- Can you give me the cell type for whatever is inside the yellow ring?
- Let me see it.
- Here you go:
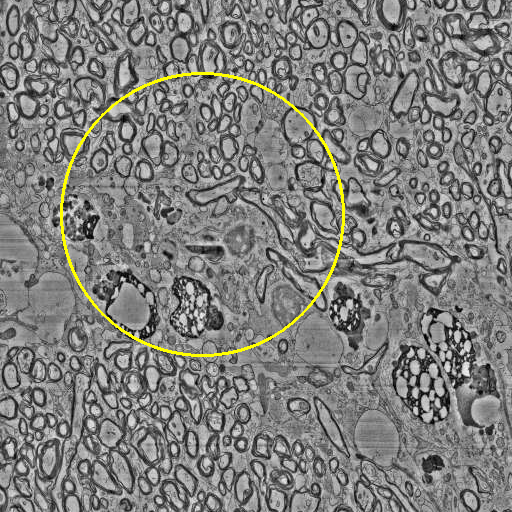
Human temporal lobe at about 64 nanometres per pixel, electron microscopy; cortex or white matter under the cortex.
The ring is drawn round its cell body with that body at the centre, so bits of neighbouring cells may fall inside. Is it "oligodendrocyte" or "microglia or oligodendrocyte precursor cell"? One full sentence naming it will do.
The cell body in the middle of the ring in this picture belongs to a microglial cell or oligodendrocyte precursor cell.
